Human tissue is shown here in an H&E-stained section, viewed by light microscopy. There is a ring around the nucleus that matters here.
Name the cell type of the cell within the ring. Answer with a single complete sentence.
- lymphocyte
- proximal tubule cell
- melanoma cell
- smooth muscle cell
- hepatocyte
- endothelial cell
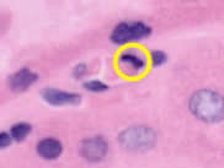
Considered by cell type, the cell within the ring is an endothelial cell.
